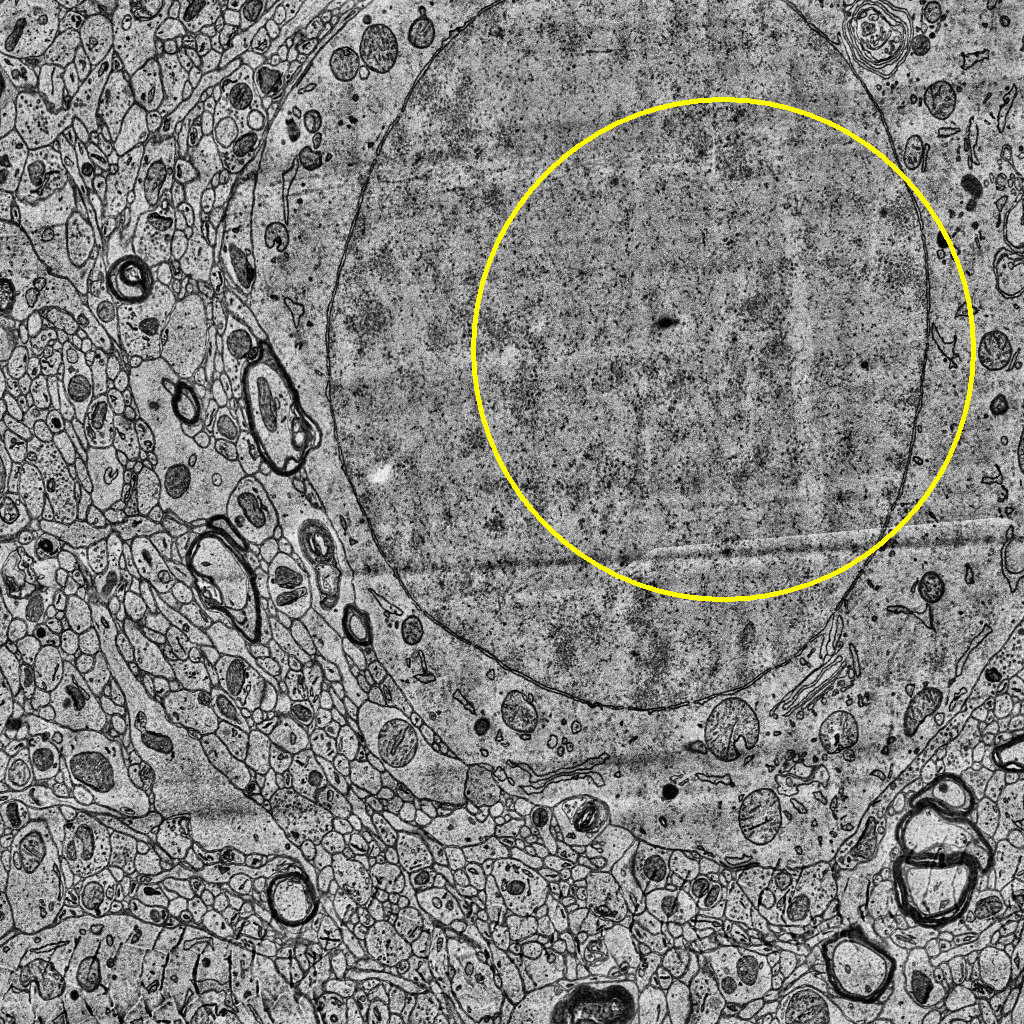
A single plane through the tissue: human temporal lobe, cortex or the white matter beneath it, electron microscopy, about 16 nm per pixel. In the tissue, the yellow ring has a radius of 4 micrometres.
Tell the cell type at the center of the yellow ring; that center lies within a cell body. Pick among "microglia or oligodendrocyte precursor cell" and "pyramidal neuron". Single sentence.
The ring's center lies in the body of a pyramidal neuron.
